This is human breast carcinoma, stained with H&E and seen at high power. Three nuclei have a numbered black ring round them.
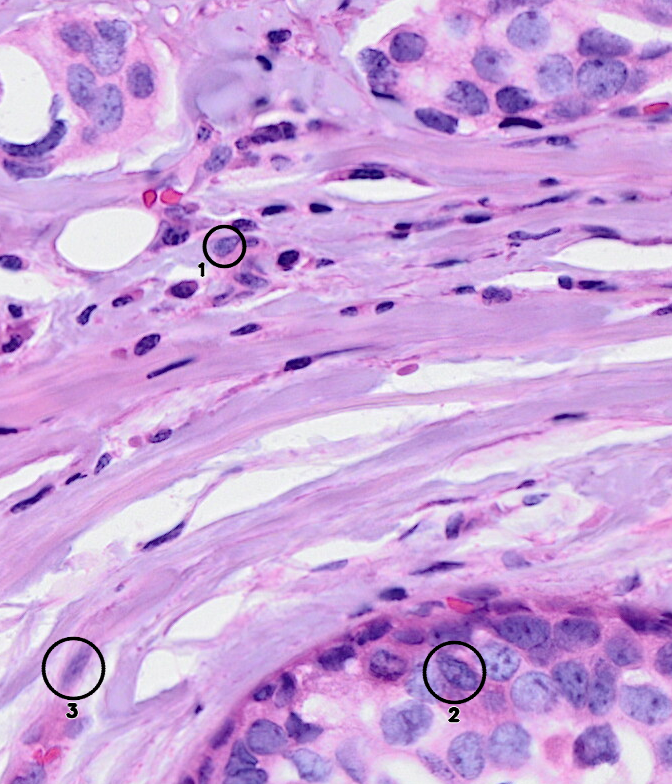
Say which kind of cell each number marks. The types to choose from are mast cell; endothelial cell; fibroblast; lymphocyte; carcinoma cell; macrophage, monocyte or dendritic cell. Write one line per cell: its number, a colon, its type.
1: endothelial cell
2: carcinoma cell
3: fibroblast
